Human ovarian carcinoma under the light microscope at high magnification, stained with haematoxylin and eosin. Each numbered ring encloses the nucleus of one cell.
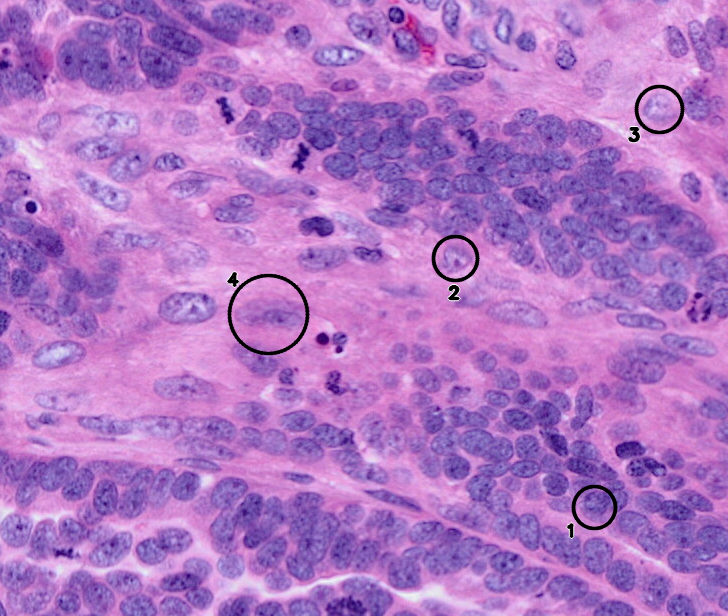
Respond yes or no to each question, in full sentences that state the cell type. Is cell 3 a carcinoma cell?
No, rather than a carcinoma cell, cell number 3 is a fibroblast.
